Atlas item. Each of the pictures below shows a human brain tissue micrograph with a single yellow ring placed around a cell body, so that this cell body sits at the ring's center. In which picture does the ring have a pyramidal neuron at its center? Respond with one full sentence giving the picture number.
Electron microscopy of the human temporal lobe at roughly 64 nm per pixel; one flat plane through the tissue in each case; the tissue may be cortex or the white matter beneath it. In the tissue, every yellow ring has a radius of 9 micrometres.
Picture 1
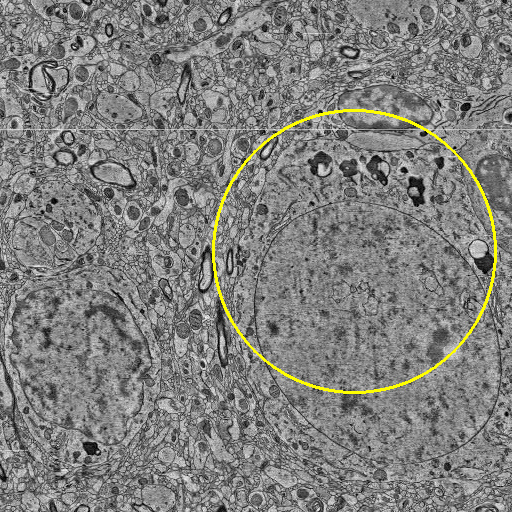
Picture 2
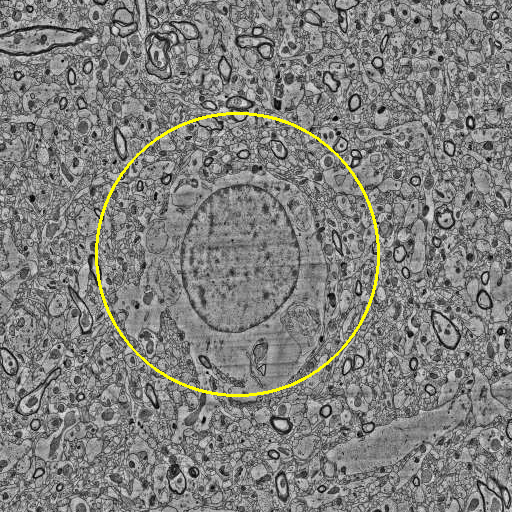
The cell at the ring's center that fits lies in picture 1.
